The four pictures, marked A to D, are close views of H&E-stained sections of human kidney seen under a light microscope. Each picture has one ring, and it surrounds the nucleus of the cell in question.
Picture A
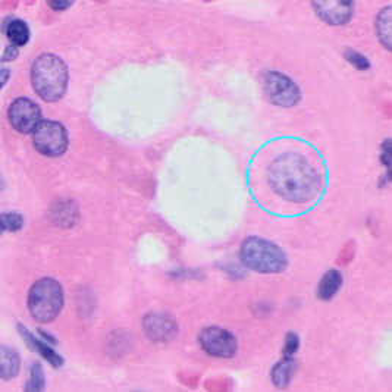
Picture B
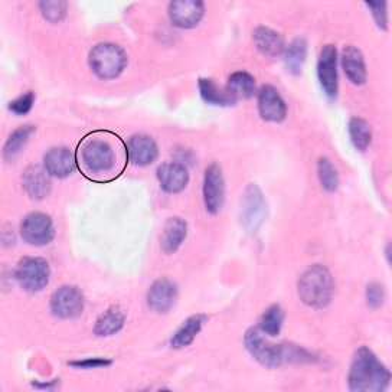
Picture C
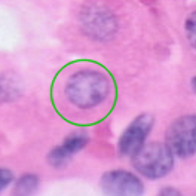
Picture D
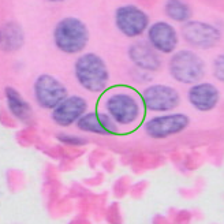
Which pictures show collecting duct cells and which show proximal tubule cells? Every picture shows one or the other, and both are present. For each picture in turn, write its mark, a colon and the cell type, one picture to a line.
A: proximal tubule cell
B: collecting duct cell
C: proximal tubule cell
D: collecting duct cell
